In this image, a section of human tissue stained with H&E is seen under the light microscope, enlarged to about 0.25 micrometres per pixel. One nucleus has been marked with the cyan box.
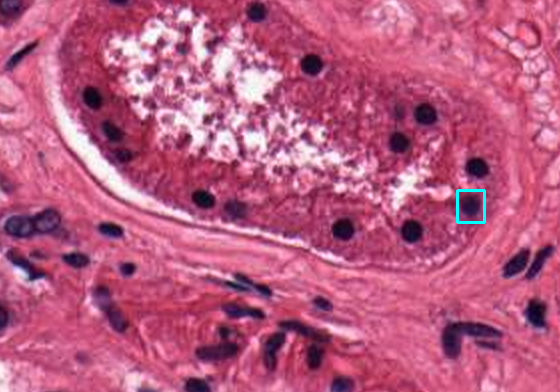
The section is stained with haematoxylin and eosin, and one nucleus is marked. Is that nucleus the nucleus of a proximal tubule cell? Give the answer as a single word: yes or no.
yes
